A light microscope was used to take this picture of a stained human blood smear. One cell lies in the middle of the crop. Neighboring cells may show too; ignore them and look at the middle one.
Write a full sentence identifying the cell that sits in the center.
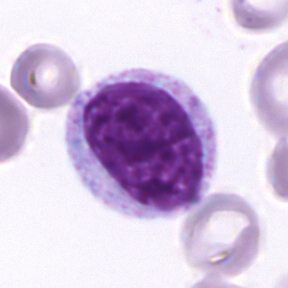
The cell in the middle of the field of view is a metamyelocyte.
